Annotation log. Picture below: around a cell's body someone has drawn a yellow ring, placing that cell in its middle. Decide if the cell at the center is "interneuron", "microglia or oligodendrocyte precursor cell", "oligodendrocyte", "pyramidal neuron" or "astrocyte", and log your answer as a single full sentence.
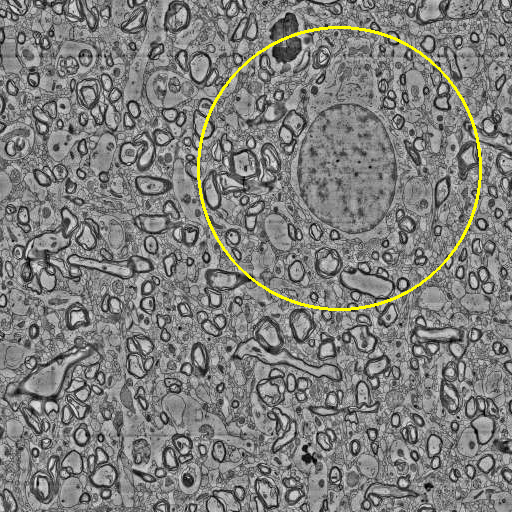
My entry records a microglial cell or oligodendrocyte precursor cell as the cell sitting at the center of the yellow ring.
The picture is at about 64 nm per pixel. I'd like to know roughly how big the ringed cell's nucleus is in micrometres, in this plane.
About 8 micrometres by about 6 micrometres in this plane.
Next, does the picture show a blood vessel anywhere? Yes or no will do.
No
